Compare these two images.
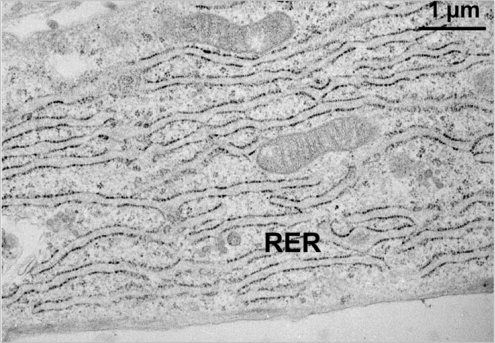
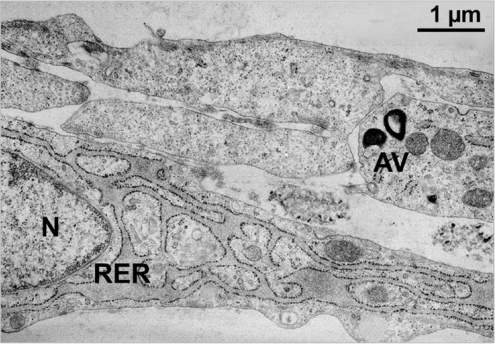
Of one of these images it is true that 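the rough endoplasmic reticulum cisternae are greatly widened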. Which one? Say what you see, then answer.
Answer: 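Second image: the ribosome-studded membranes enclose wide, looping, swollen cisternae with visible lumen filled with grey material. First image: the ribosome-studded membranes run as narrow, flat, parallel cisternae with almost no visible lumen.
The second image.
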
